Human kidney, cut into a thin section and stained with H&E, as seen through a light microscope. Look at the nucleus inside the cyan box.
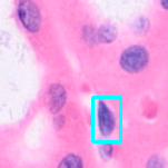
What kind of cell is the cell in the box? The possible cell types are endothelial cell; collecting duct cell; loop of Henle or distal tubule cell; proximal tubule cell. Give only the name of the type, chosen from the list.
endothelial cell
